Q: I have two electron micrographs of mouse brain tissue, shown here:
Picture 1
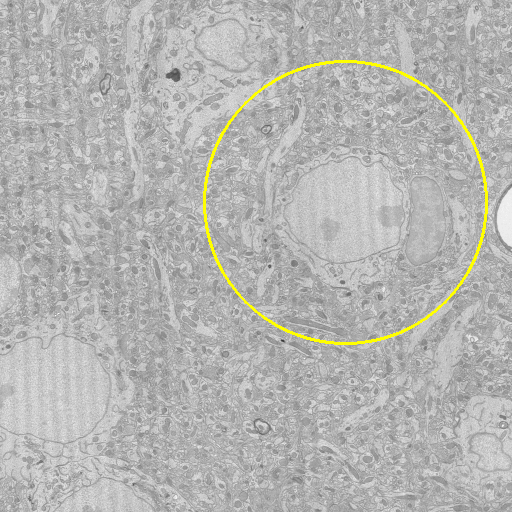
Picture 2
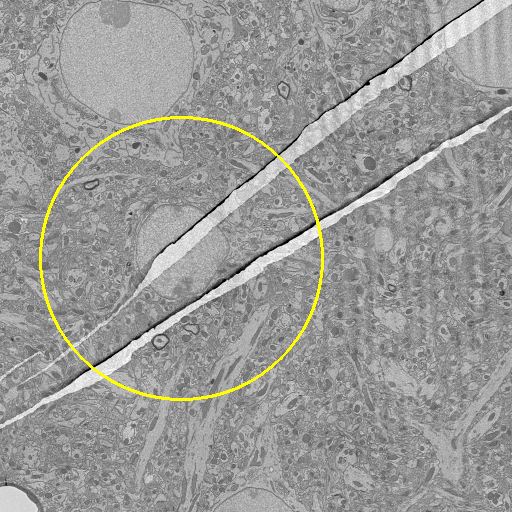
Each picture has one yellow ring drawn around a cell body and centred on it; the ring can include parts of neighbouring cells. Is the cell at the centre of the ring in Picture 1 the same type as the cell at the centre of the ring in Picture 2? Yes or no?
no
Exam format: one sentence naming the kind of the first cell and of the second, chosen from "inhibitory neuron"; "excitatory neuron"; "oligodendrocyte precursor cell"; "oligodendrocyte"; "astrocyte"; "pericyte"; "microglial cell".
The first picture's cell is an excitatory neuron, and the second picture's cell is an astrocyte.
